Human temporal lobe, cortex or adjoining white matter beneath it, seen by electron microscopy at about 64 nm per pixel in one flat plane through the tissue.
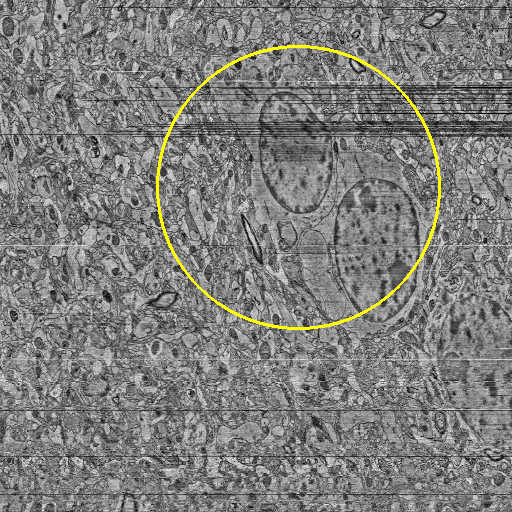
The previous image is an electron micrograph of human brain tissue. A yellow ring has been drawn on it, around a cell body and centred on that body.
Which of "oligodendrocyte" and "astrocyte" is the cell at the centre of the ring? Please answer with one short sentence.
The cell body at the centre of the ring belongs to an astrocyte.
